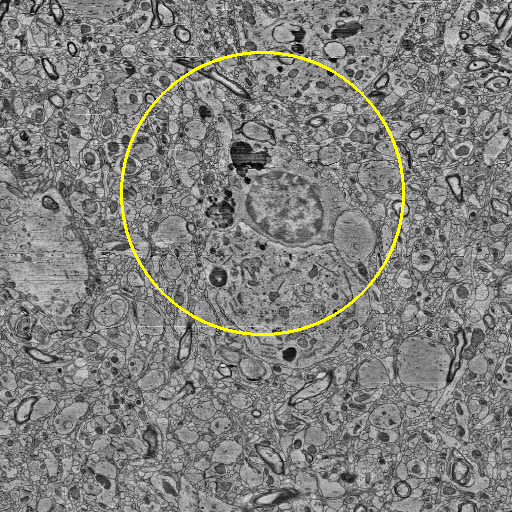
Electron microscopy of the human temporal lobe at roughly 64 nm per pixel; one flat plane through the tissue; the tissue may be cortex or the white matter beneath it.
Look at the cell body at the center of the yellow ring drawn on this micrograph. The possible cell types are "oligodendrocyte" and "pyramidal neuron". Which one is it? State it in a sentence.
The cell in the middle of the ring is an oligodendrocyte.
